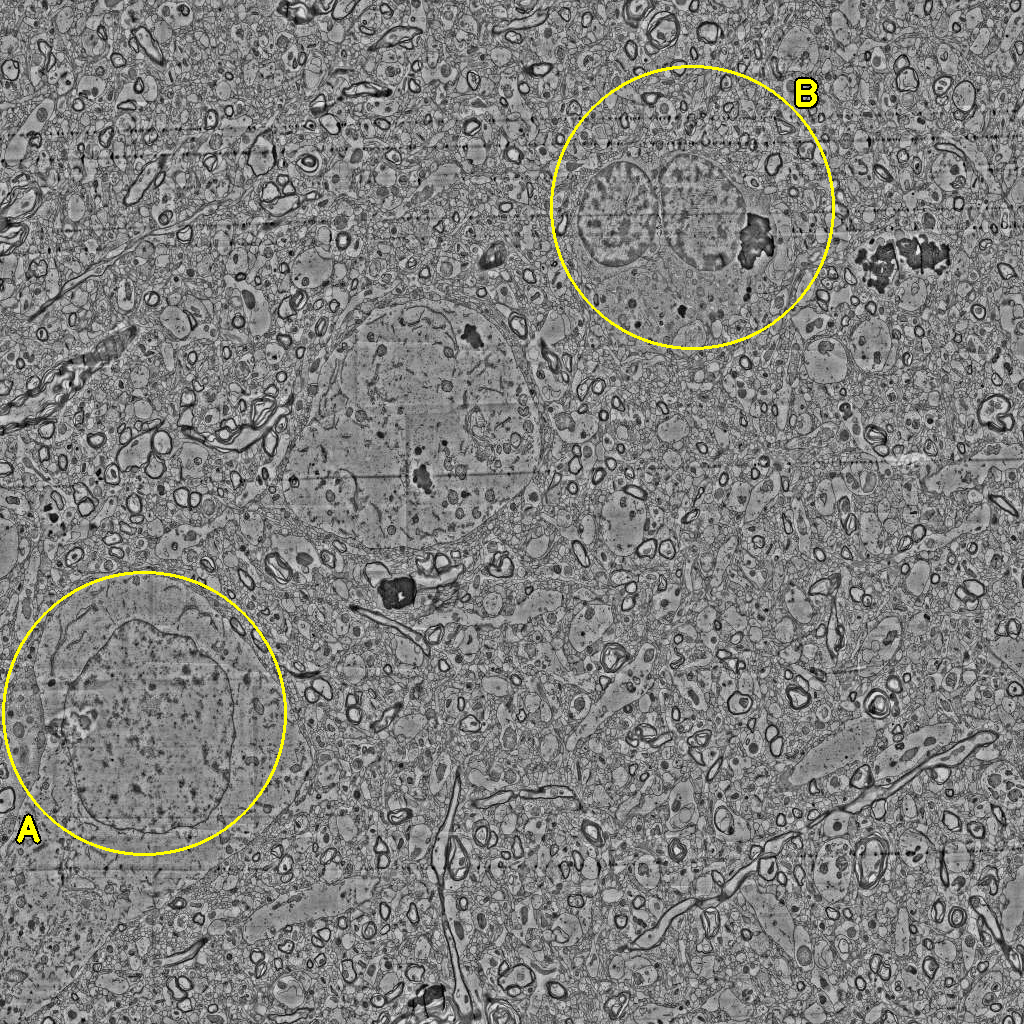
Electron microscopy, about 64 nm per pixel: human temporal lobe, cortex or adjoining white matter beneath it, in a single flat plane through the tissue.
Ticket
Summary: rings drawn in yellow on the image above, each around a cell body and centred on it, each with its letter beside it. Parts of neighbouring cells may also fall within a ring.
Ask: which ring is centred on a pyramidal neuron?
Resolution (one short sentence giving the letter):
The ring marked A is centred on it.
